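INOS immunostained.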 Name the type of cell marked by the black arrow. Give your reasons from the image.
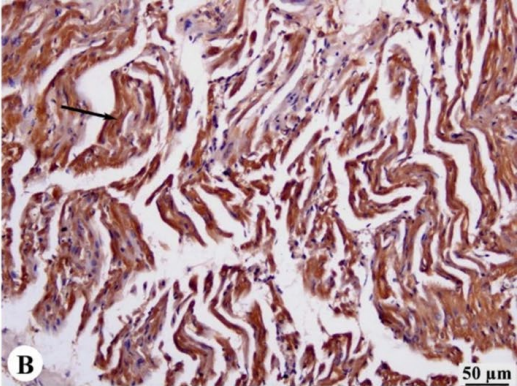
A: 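The arrow lies on long striated-looking fibres that run in wavy bands.
Answer: cardiomyocytes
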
